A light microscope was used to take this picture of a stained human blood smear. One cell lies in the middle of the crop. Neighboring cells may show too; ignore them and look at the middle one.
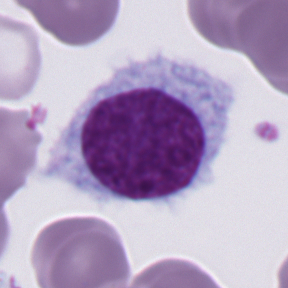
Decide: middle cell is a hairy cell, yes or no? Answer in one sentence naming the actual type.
Yes, it is a hairy cell that occupies the centre of the crop.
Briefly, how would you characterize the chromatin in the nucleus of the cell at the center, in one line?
Heads up, the chromatin is fine with no coarse clumps in it.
